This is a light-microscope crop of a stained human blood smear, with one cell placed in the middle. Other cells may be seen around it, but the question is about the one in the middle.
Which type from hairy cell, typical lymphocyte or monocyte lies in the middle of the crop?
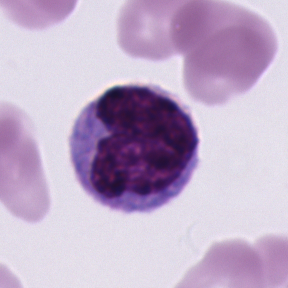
monocyte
